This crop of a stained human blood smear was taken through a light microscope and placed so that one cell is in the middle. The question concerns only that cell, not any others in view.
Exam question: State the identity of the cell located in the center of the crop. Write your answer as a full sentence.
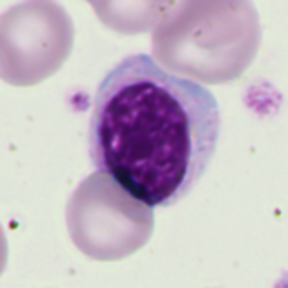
The middle of this crop is occupied by a metamyelocyte.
